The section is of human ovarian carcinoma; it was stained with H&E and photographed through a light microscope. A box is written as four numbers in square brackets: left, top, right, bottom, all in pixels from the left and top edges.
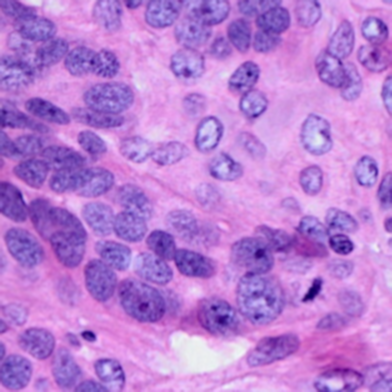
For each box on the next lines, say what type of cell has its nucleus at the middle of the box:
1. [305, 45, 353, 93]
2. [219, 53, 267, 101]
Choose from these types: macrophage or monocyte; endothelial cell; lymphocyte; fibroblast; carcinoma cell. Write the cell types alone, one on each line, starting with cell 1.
fibroblast
macrophage or monocyte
